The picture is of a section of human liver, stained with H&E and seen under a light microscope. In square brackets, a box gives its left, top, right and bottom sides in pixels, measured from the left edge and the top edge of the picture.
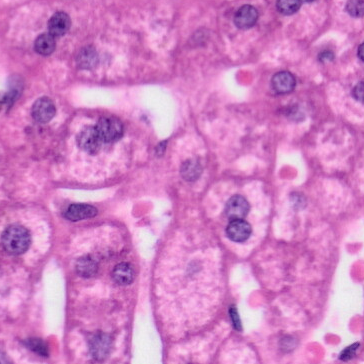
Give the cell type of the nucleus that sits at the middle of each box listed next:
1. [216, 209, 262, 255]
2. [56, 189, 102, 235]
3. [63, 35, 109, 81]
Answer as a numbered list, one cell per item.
1. hepatocyte
2. Kupffer cell
3. hepatocyte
